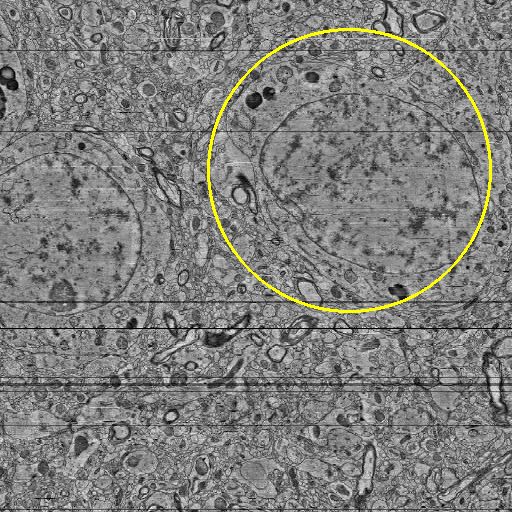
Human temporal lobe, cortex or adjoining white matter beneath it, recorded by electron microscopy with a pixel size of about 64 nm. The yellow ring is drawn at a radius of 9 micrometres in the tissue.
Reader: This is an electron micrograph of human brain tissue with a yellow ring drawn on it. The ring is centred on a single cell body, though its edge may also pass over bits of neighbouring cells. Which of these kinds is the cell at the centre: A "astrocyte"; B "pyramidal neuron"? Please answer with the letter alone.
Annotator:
B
